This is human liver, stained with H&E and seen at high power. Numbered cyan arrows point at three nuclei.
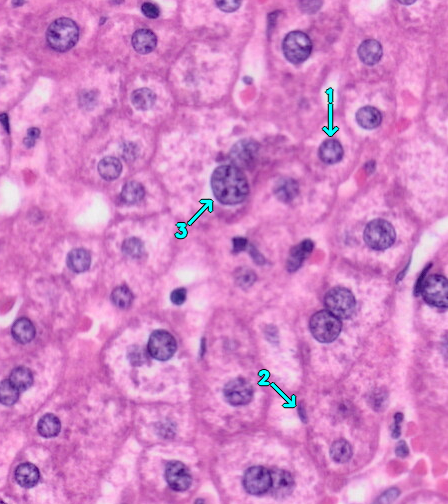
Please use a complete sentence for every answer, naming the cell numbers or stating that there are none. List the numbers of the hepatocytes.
The cells whose numbers are 1 and 3 are hepatocytes.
